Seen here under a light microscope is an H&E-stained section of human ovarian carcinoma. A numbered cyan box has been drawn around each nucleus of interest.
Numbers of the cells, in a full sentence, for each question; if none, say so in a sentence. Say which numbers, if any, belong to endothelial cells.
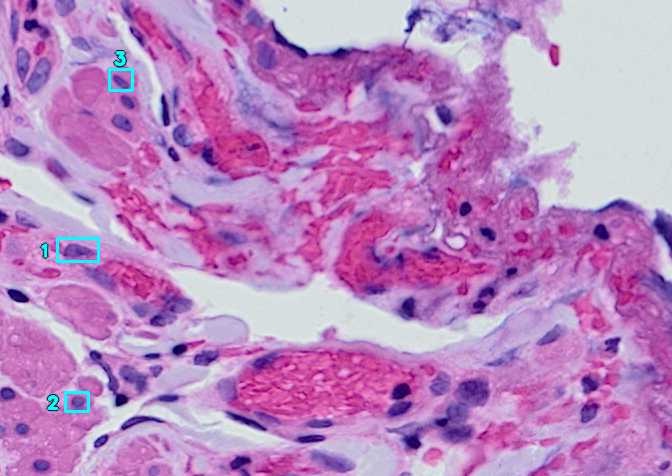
Among the cells marked with numbers, the only one that is an endothelial cell is number 1.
